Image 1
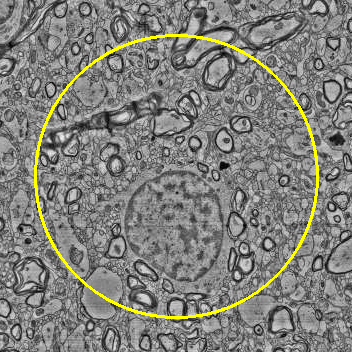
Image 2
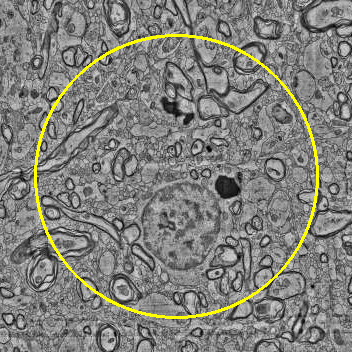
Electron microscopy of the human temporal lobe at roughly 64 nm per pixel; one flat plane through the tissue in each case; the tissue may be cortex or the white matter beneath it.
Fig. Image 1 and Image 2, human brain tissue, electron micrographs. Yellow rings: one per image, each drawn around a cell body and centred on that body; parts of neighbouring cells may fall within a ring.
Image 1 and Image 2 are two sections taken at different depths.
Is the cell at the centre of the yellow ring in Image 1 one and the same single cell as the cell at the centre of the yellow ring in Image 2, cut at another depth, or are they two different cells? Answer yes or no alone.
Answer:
yes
